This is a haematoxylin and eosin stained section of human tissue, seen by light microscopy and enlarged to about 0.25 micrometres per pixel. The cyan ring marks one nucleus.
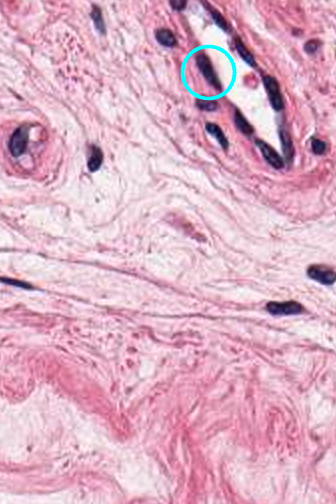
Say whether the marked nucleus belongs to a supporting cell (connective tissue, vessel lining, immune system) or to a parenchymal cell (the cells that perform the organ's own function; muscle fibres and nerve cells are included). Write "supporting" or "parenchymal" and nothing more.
supporting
